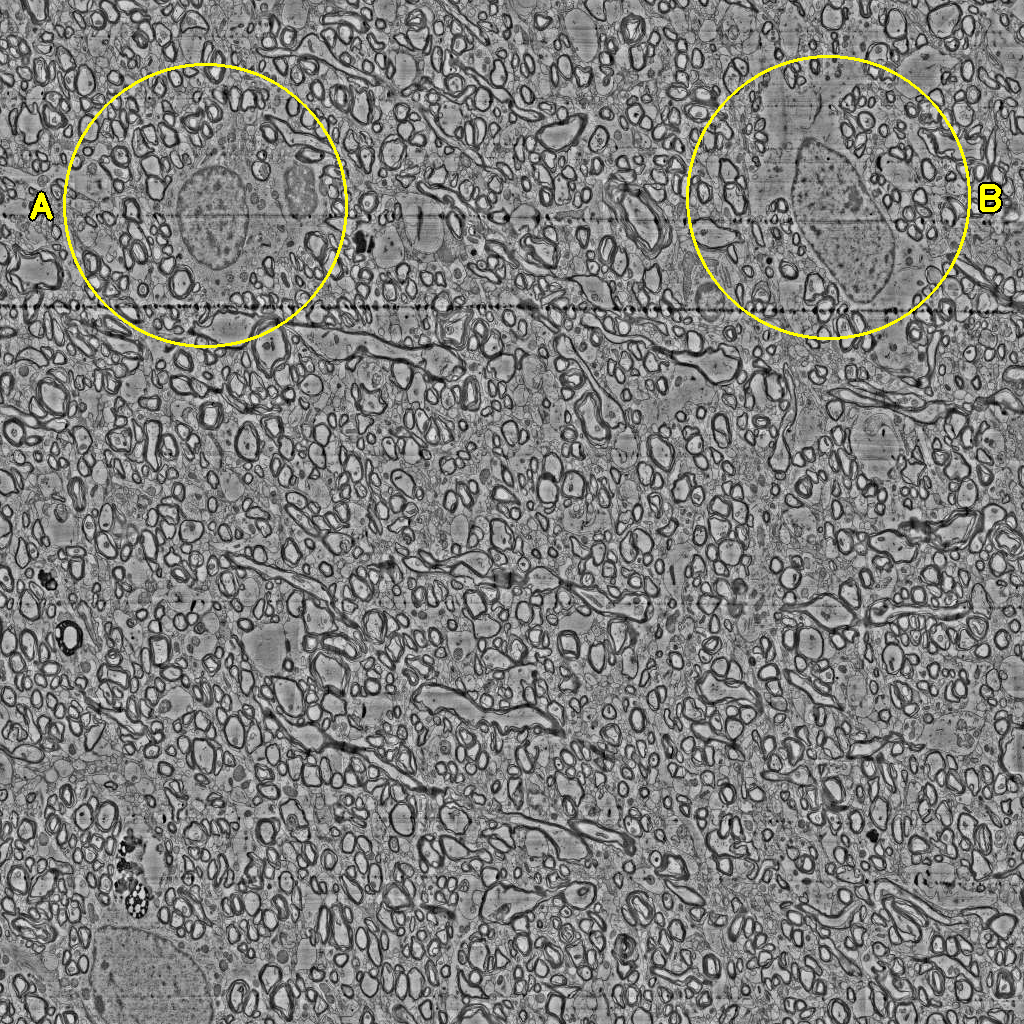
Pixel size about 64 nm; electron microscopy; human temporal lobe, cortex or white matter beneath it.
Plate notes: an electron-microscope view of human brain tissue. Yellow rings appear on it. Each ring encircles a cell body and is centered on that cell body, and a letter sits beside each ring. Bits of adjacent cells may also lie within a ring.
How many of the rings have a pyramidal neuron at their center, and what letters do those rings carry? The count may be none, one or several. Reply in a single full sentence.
Every lettered ring is centred on something other than a pyramidal neuron, so the count is zero.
